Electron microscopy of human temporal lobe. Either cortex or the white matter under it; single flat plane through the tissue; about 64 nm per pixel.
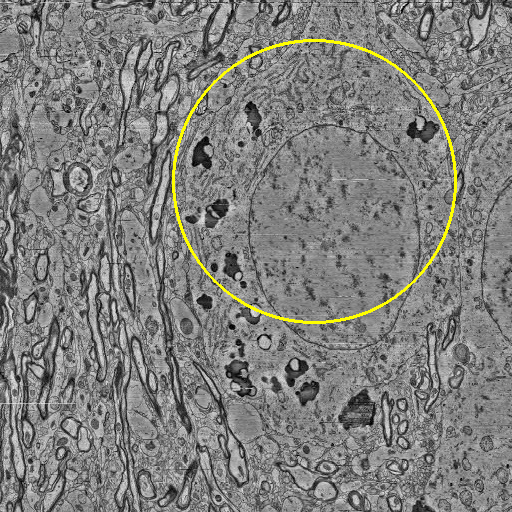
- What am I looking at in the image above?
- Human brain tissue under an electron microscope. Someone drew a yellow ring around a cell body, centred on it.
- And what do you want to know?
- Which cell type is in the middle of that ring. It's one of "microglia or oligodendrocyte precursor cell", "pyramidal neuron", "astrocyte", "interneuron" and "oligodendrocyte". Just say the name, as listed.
pyramidal neuron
